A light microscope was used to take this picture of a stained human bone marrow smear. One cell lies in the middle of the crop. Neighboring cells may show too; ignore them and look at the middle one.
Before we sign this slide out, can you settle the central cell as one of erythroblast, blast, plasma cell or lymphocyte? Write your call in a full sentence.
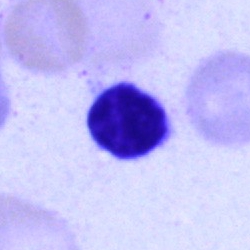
Among the cells in view, the one in the middle is a lymphocyte.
